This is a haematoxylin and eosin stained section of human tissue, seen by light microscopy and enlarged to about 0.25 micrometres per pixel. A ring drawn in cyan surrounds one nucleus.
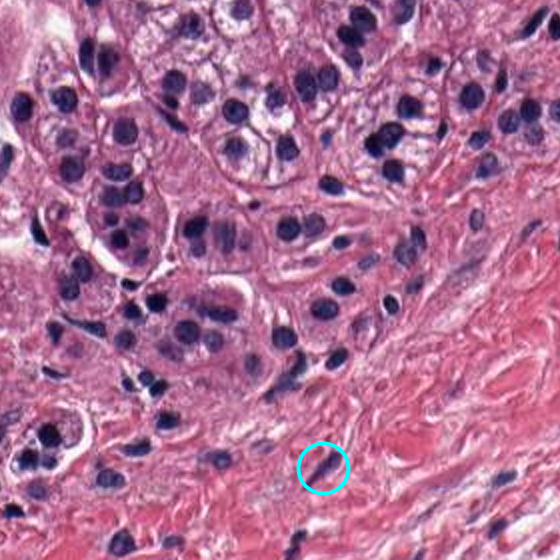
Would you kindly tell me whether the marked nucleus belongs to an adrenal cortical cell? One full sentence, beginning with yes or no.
No, an adrenal cortical cell is not the cell of the marked nucleus; a supporting cell is.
